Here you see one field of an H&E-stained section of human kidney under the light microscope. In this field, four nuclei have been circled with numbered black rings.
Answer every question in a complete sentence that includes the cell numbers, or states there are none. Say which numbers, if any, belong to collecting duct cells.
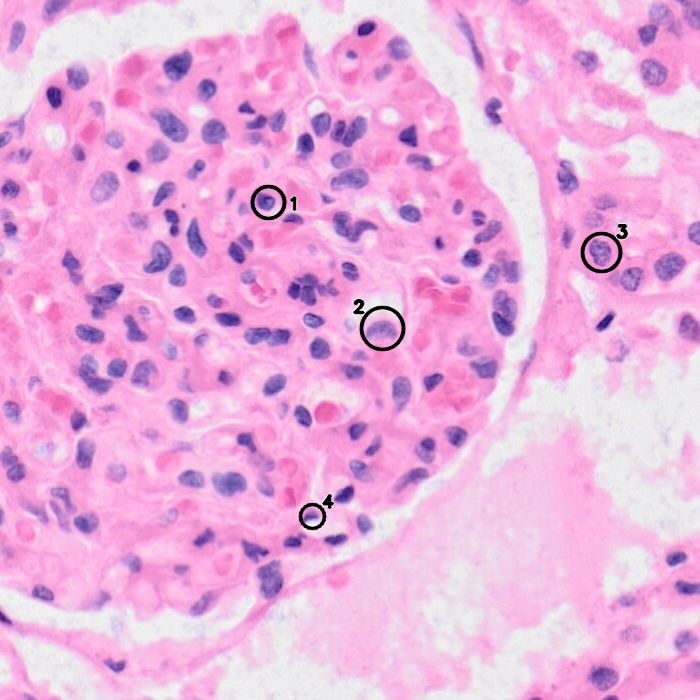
Cell 3 represents a collecting duct cell, and no other numbered cell does.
